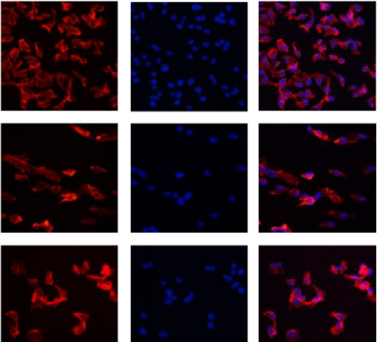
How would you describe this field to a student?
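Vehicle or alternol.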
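The red signal fills the cytoplasm of flat, spread cells with irregular, polygonal or spindle outlines and brighter rims at cell edges. In the top row the cells are numerous and densely spaced; in the lower rows fewer cells are present, several are elongated or clustered, and the red signal appears more concentrated and irregular around the nuclei.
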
